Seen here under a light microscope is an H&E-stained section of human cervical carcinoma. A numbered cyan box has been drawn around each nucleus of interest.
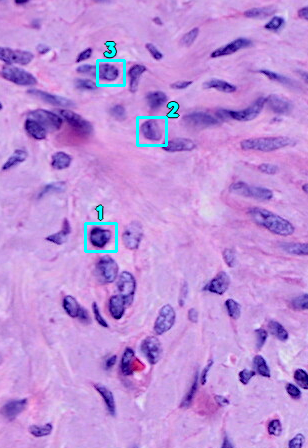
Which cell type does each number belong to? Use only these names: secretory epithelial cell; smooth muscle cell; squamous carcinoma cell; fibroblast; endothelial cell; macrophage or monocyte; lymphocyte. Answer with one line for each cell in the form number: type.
1: endothelial cell
2: fibroblast
3: fibroblast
